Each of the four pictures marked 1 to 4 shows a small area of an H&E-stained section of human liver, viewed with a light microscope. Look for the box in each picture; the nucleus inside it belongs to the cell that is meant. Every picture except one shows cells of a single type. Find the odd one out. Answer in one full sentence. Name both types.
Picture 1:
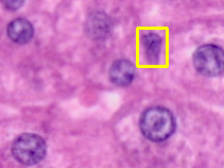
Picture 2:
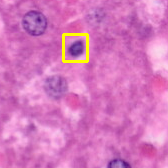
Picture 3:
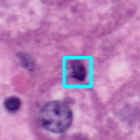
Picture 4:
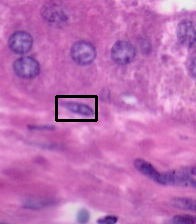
The others show “fibroblasts or stellate cells”, but picture 2 shows a lymphocyte.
